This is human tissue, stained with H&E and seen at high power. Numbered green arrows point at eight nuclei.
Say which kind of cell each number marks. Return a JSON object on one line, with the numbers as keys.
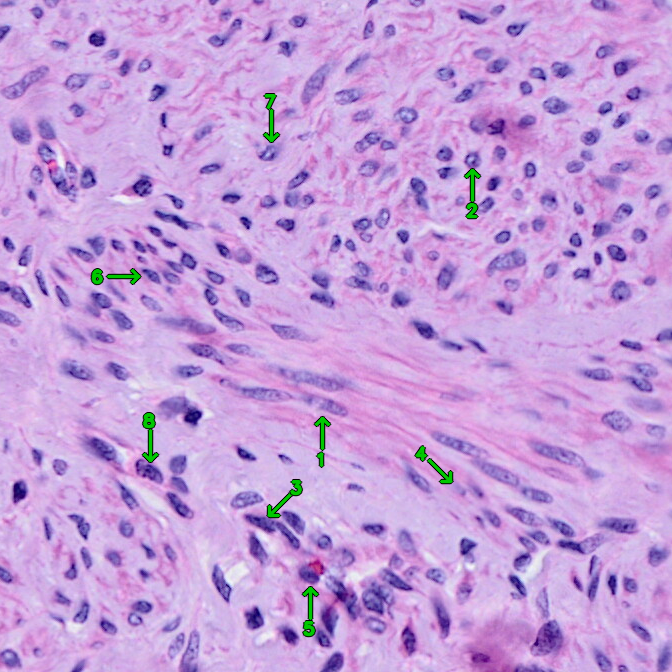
{"1": "smooth muscle cell", "2": "smooth muscle cell", "3": "endothelial cell", "4": "smooth muscle cell", "5": "endothelial cell", "6": "smooth muscle cell", "7": "smooth muscle cell", "8": "endothelial cell"}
